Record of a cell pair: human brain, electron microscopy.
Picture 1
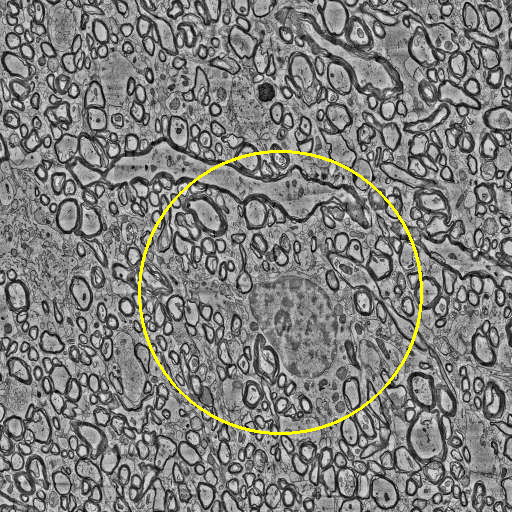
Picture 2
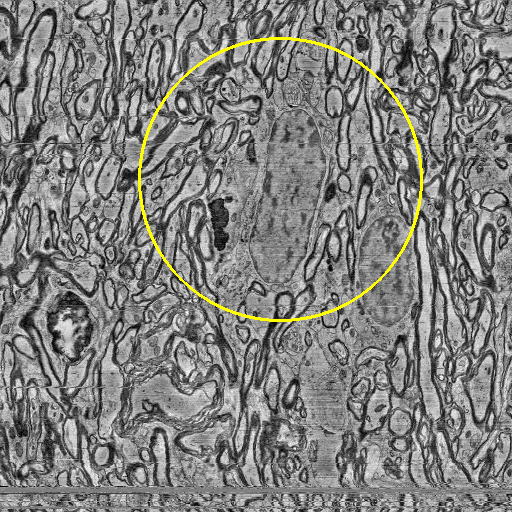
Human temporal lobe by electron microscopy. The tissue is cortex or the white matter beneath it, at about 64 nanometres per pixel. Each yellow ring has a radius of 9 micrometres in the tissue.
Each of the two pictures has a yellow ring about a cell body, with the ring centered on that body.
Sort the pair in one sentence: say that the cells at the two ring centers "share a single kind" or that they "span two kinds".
The cells centered in the rings of Pictures 1 and 2 span two kinds.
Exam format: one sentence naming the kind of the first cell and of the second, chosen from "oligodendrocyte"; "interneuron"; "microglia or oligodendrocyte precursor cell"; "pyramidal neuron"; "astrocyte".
The first picture's cell is an oligodendrocyte, and the second picture's cell is a microglial cell or oligodendrocyte precursor cell.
